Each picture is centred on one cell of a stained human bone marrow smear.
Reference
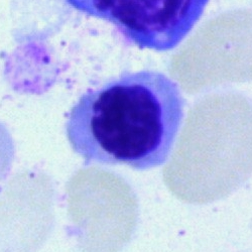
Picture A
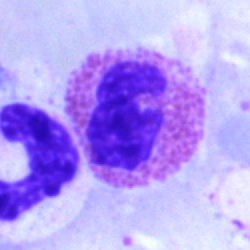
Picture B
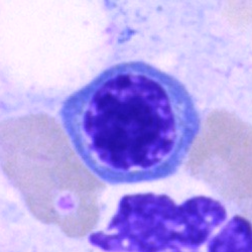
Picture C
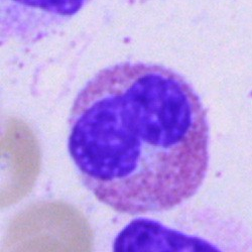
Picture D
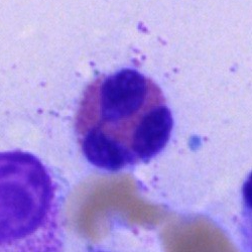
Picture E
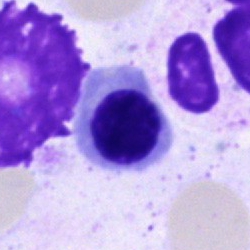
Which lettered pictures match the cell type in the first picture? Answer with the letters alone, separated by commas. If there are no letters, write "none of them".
B, E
